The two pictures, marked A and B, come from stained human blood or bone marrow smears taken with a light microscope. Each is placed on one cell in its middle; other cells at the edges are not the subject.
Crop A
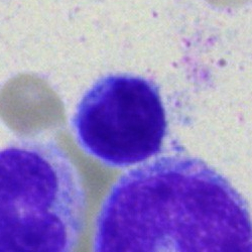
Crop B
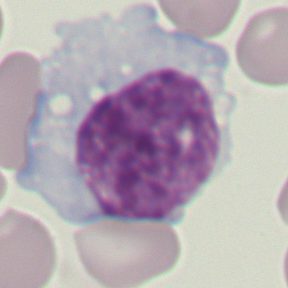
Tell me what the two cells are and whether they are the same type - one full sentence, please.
No, crop A shows a lymphocyte, with a blast shown in crop B.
